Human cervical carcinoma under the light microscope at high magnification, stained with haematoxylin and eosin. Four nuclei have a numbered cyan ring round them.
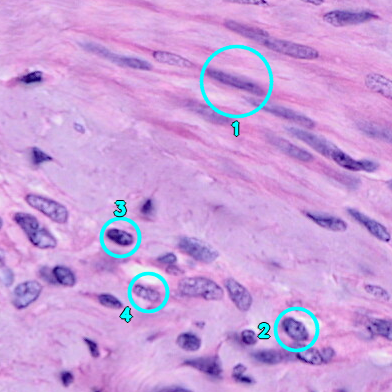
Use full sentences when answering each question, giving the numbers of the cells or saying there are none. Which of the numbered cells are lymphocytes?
The nucleus numbered 3 is the only one that belongs to a lymphocyte.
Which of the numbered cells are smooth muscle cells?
Only the cell at mark 1 is a smooth muscle cell, and no other marked cell is.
